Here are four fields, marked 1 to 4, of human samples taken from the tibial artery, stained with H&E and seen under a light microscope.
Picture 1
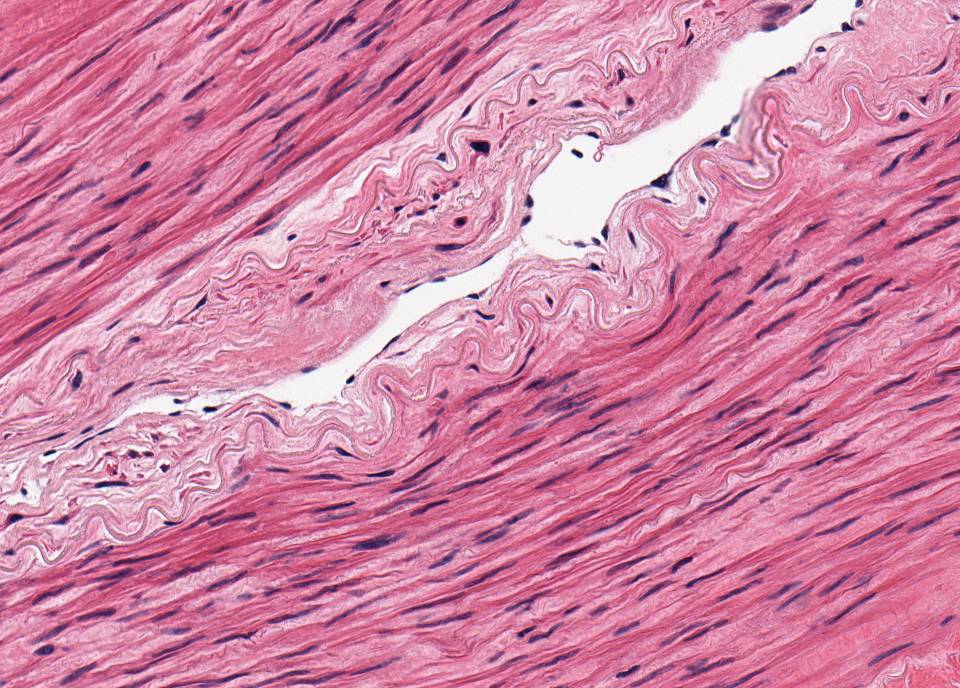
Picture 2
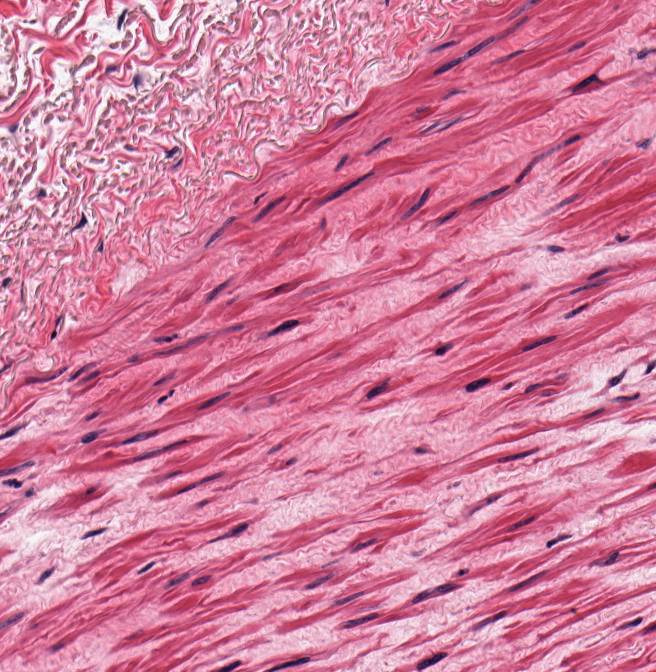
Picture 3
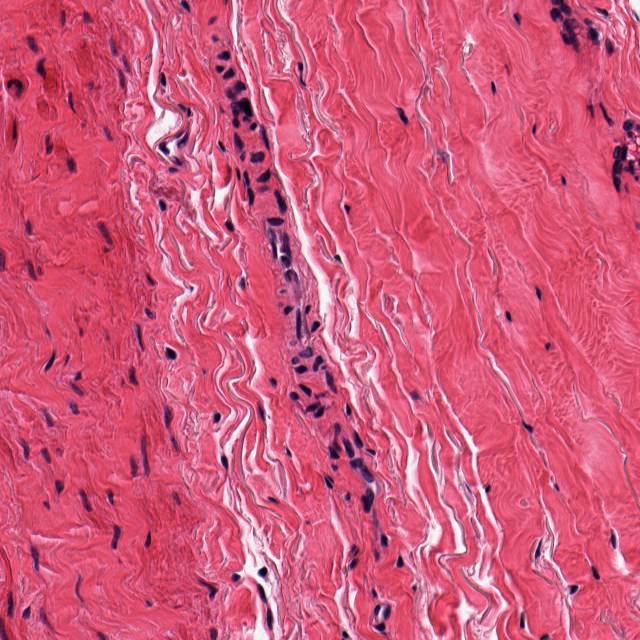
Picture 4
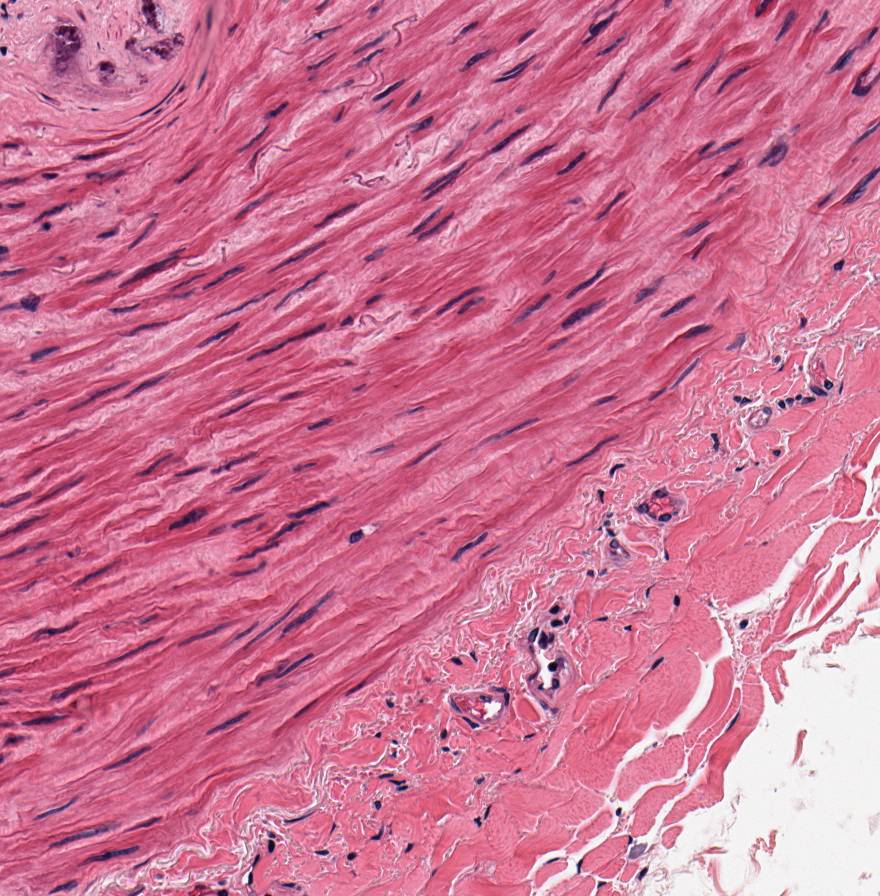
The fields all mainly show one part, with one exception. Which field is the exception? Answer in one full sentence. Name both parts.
Unlike the rest, which mainly show the tunica media, picture 3 mainly shows the tunica adventitia.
